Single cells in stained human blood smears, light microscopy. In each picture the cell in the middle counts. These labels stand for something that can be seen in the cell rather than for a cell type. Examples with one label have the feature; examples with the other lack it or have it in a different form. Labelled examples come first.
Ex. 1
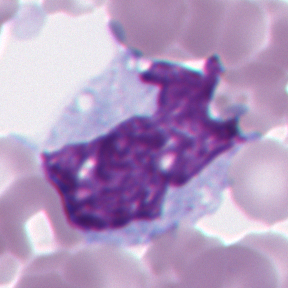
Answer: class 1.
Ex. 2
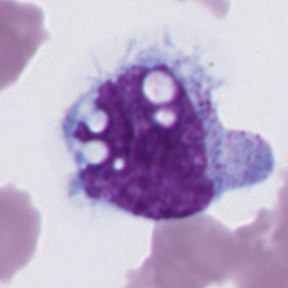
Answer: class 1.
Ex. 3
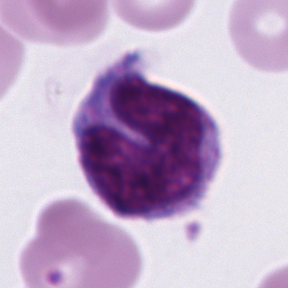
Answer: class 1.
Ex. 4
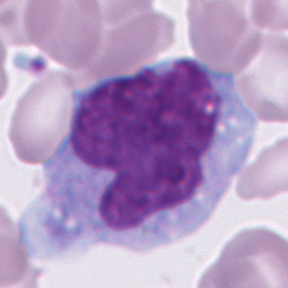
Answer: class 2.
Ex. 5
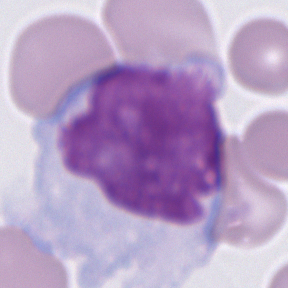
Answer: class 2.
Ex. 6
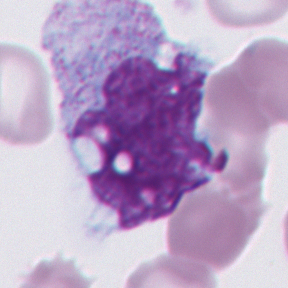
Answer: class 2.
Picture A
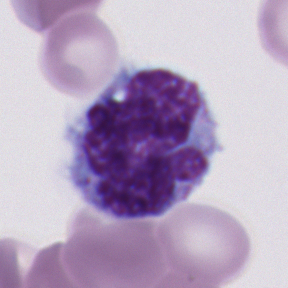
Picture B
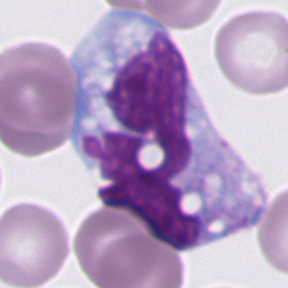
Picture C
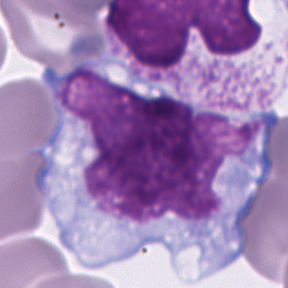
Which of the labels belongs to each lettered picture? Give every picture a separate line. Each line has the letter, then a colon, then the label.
A: class 1.
B: class 2.
C: class 2.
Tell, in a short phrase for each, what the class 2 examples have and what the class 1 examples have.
class 2, abundant cytoplasm; class 1, scant cytoplasm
